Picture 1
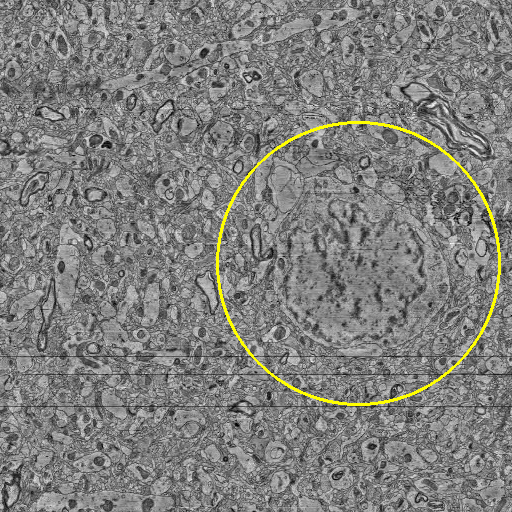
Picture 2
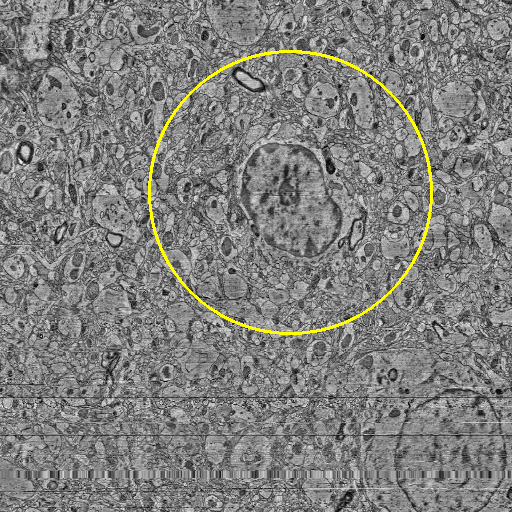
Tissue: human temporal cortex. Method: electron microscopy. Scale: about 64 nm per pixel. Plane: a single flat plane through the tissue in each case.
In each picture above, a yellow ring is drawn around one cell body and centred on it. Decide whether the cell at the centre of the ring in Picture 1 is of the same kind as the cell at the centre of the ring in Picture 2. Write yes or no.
no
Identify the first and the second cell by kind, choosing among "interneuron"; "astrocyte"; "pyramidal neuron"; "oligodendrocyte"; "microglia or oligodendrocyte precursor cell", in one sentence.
The one in the first picture is an interneuron, while the one in the second is a microglial cell or oligodendrocyte precursor cell.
